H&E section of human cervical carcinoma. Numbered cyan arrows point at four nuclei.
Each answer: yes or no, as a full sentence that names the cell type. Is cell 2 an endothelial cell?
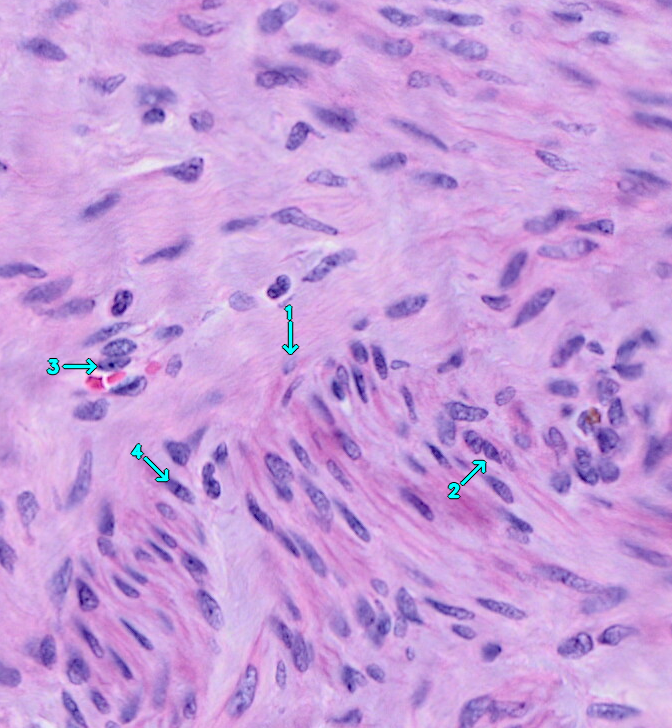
No, at number 2 sits a smooth muscle cell, not an endothelial cell.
